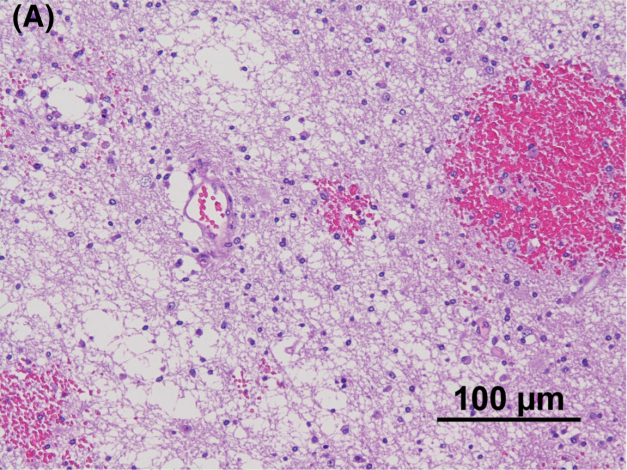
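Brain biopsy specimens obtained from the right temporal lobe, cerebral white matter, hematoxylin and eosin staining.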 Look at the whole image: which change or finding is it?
Small haemorrhagic foci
